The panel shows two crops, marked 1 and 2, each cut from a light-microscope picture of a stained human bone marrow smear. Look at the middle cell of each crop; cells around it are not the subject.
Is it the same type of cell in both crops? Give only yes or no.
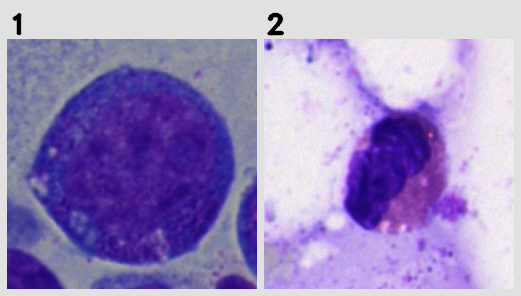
no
